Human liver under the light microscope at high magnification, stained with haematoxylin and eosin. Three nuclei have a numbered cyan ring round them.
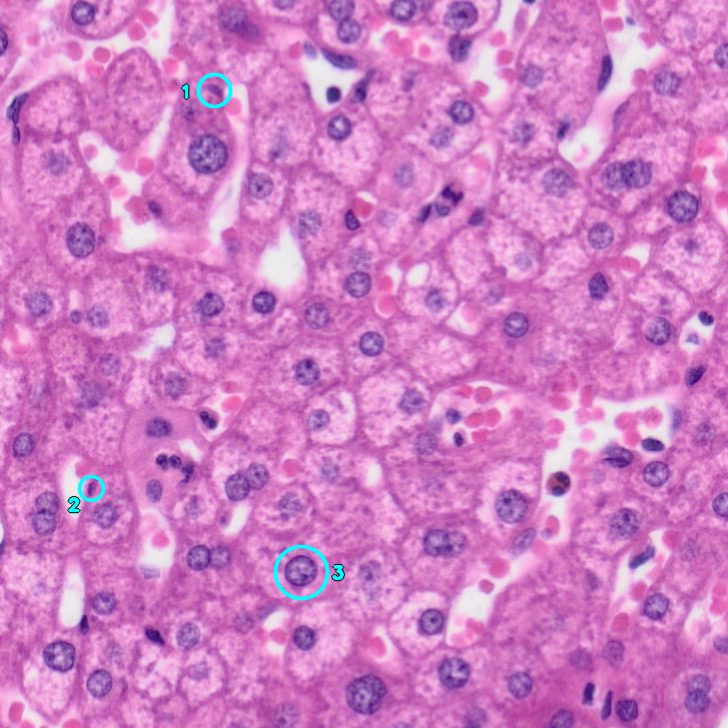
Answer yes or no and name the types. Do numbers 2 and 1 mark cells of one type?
No, cell 2 is a Kupffer cell; cell 1 is a fibroblast or stellate cell.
